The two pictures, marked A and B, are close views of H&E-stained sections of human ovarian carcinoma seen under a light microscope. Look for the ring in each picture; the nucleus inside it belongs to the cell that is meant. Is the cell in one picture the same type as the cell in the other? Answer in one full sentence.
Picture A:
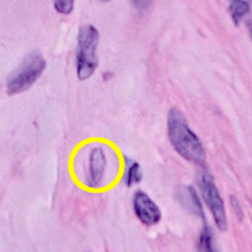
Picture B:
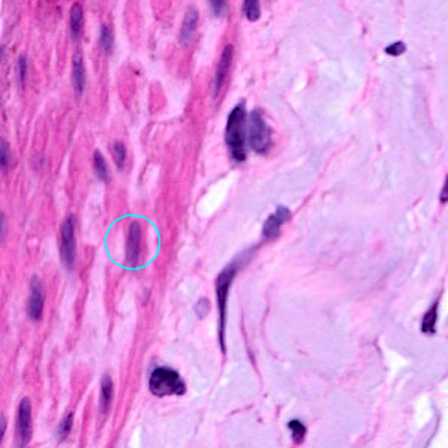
Yes, they are the same type: both are smooth muscle cells.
